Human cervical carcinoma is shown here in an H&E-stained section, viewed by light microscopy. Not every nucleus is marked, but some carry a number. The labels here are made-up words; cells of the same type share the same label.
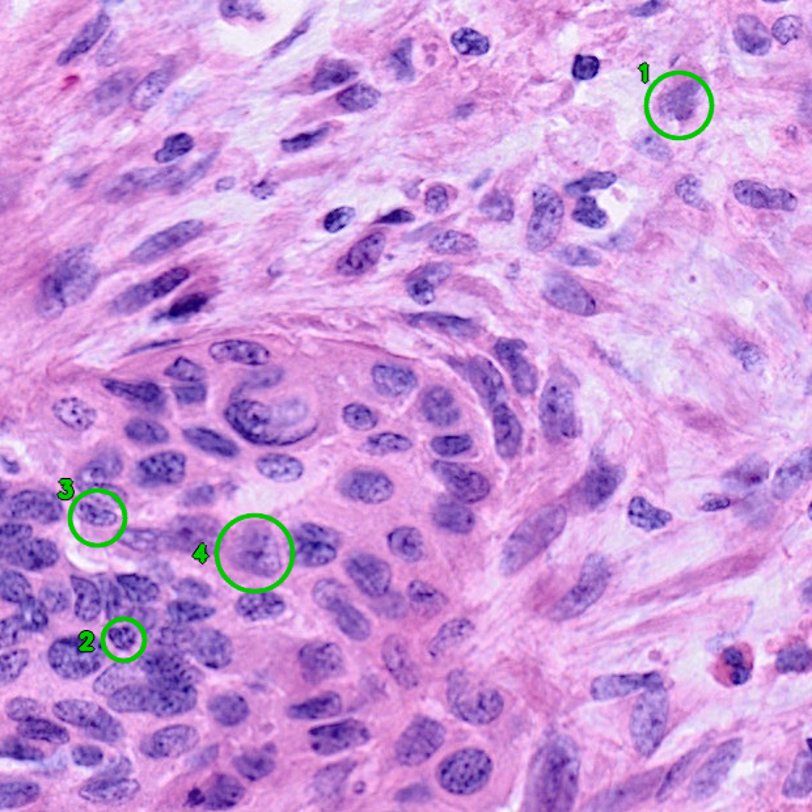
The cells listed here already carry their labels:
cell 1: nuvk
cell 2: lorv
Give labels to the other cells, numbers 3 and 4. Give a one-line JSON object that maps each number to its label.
{"3": "lorv", "4": "lorv"}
